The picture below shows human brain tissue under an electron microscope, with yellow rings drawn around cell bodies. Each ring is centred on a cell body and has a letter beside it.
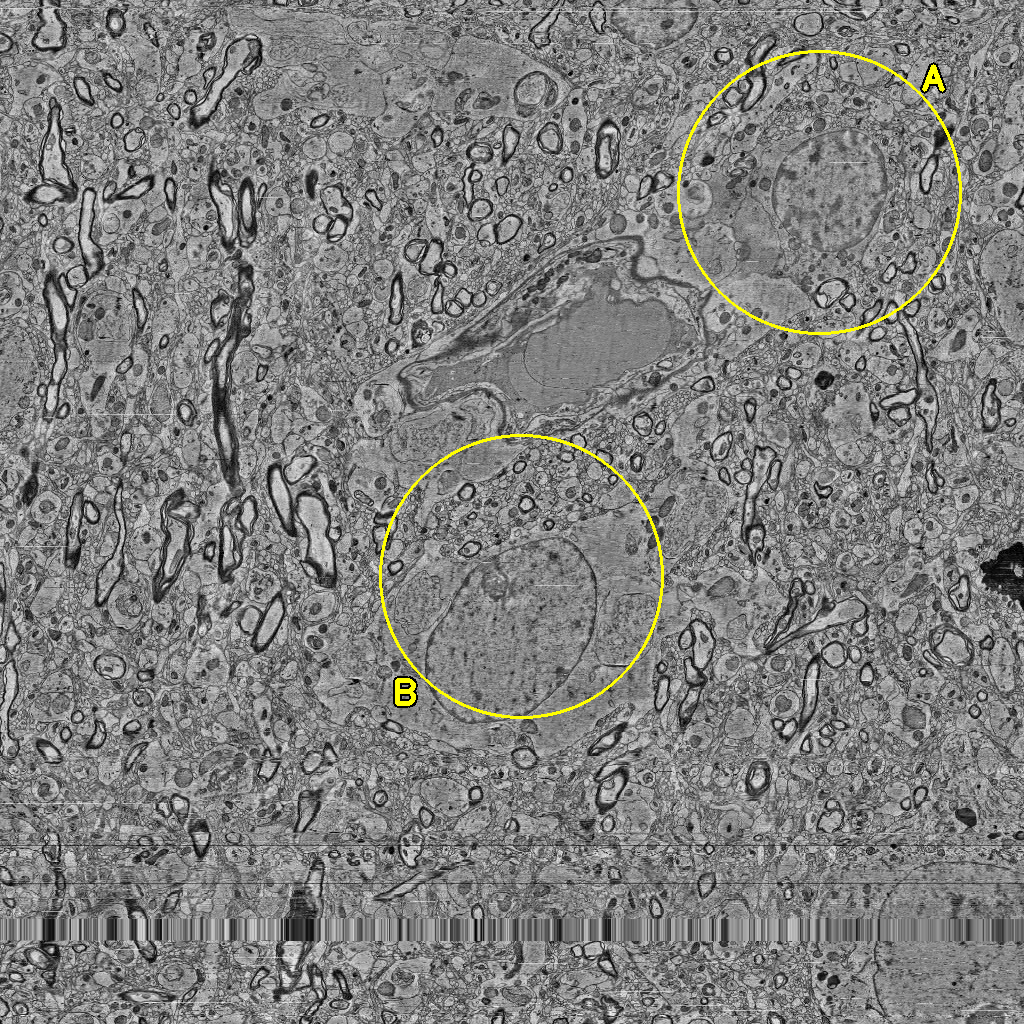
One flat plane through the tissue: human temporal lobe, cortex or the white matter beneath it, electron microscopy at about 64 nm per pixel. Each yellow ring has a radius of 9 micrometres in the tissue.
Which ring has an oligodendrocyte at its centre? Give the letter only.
A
